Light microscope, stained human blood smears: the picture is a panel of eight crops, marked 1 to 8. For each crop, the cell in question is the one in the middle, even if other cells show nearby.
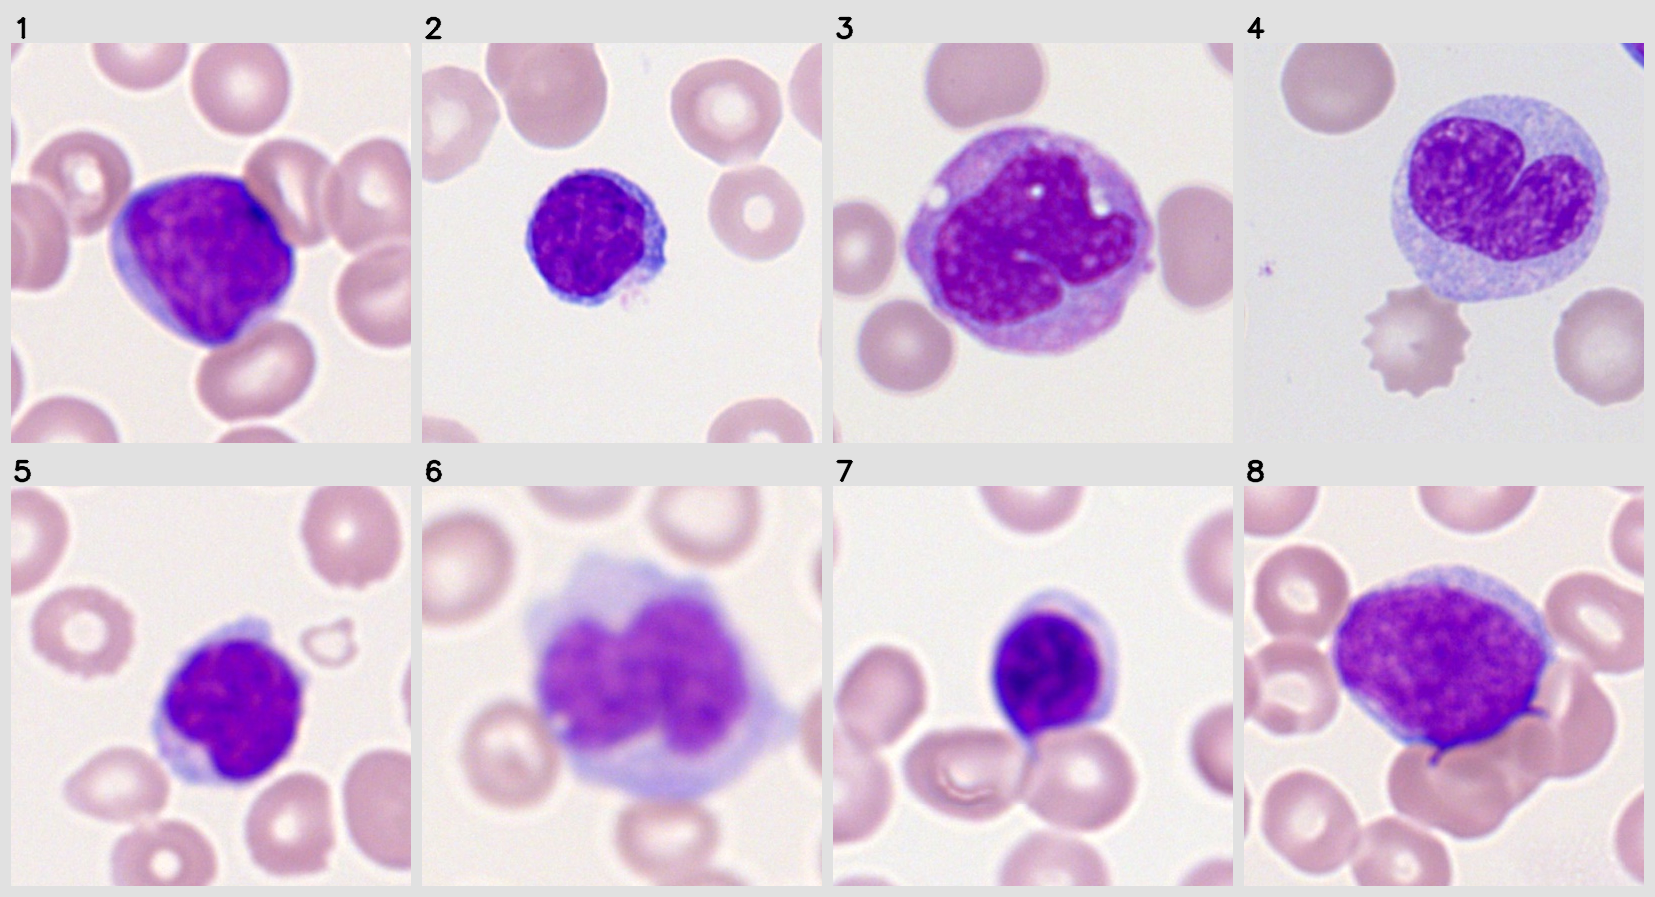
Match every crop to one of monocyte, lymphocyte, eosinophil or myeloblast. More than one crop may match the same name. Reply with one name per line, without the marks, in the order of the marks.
myeloblast
lymphocyte
monocyte
monocyte
lymphocyte
monocyte
lymphocyte
myeloblast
